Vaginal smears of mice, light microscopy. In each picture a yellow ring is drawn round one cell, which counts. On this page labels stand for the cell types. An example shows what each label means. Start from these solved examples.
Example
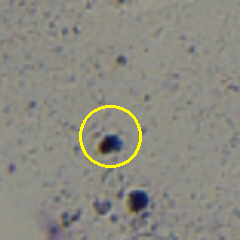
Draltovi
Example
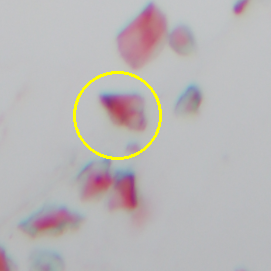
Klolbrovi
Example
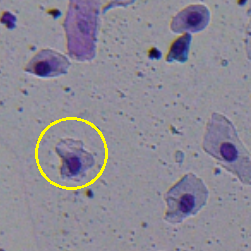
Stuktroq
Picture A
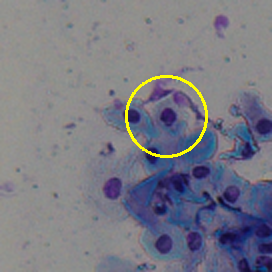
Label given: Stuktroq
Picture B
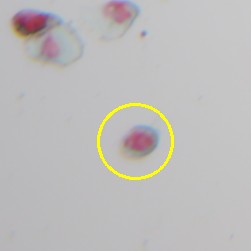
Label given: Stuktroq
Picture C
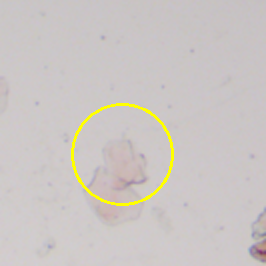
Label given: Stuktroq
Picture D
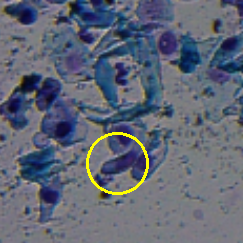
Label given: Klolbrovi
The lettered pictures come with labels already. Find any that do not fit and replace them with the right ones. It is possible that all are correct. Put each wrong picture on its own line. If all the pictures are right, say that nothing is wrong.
C: Klolbrovi, not Stuktroq
D: Stuktroq, not Klolbrovi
